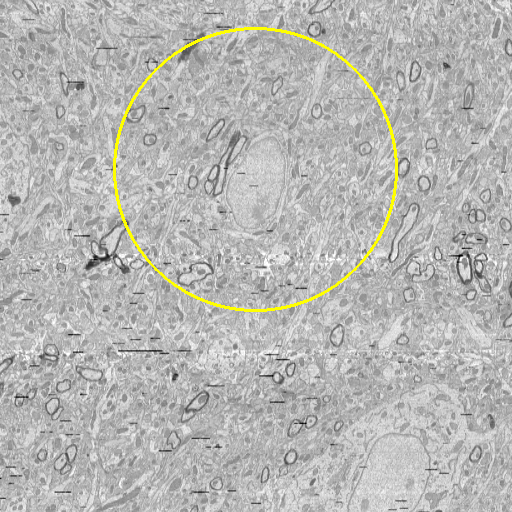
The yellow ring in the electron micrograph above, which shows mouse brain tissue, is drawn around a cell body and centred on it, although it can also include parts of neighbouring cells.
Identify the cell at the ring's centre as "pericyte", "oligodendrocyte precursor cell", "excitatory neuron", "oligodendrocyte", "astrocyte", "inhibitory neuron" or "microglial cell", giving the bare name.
oligodendrocyte precursor cell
